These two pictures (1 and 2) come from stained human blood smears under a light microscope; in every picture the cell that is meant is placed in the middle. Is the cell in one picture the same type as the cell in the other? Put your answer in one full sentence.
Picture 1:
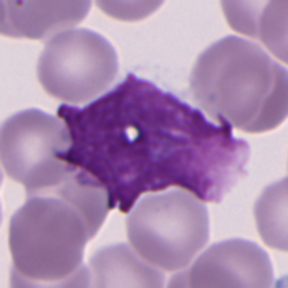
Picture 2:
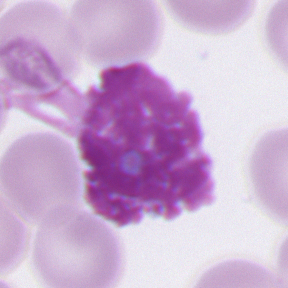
Yes, both are smudge cells.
